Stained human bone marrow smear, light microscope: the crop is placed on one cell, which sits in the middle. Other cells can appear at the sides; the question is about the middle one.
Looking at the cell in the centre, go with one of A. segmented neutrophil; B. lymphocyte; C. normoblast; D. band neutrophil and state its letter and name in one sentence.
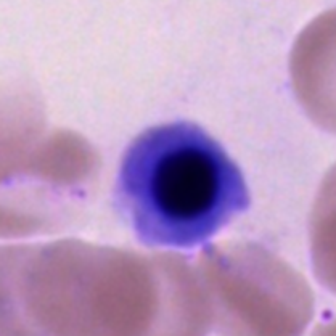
Option C is right in identifying the central cell as a normoblast.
